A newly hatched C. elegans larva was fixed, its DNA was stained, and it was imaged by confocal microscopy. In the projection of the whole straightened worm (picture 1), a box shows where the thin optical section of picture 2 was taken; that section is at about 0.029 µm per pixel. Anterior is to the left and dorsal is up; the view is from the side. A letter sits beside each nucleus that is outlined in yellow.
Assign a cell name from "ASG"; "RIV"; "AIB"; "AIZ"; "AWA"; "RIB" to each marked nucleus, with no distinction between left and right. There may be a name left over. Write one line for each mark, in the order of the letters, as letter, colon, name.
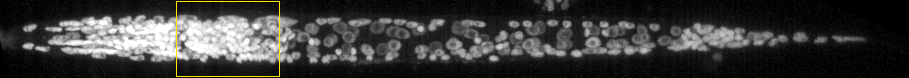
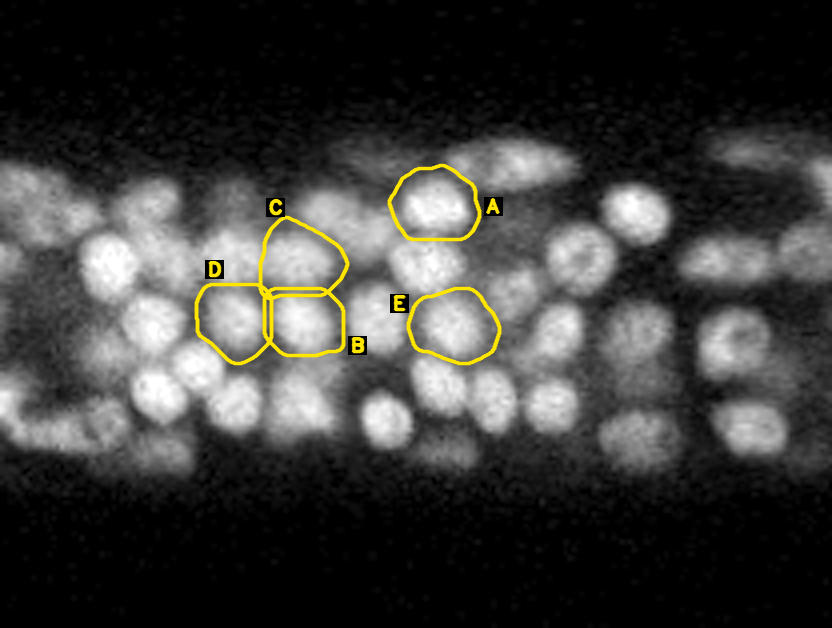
A: RIV
B: RIB
C: AWA
D: AIB
E: AIZ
